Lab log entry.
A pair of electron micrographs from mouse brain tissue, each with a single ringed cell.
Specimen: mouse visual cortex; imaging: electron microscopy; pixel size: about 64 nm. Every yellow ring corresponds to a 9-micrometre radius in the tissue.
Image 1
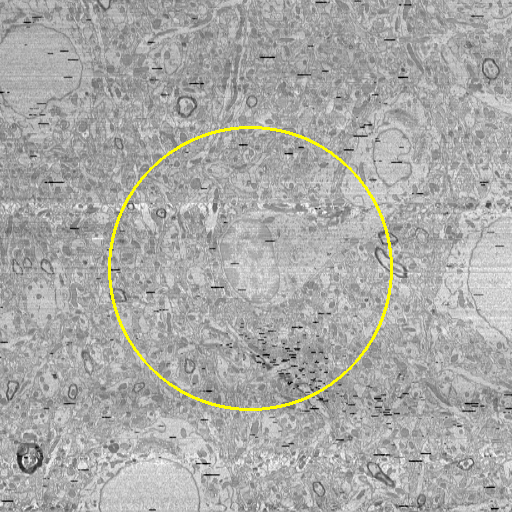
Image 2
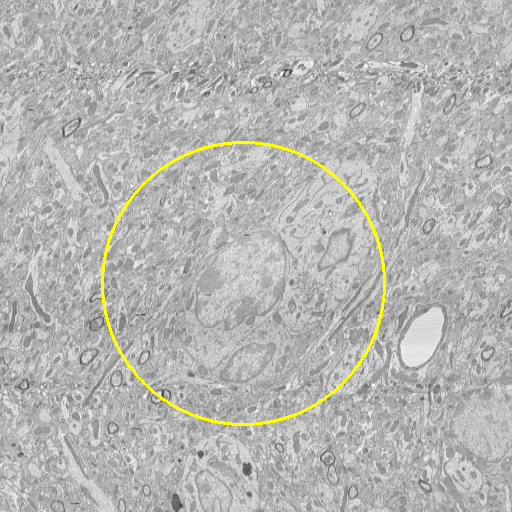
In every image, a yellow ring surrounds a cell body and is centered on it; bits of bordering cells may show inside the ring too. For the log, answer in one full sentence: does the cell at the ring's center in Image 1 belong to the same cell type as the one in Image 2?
Yes, the cells at the ring centers in Image 1 and Image 2 share one type.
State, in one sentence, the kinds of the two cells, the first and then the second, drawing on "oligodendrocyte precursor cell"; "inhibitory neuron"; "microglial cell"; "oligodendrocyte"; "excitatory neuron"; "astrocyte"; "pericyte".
Each of the ringed cells, first and second, is an oligodendrocyte.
